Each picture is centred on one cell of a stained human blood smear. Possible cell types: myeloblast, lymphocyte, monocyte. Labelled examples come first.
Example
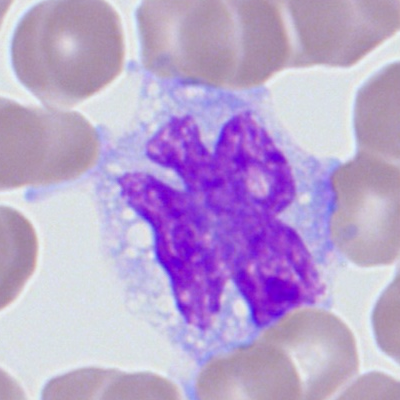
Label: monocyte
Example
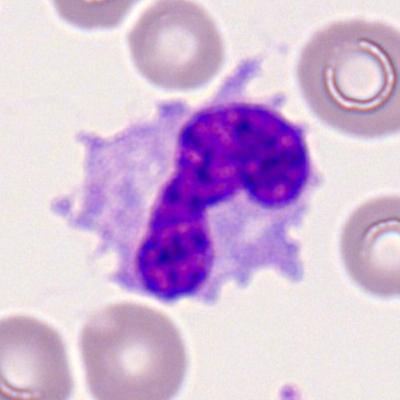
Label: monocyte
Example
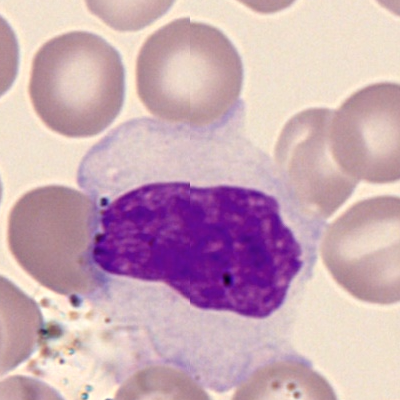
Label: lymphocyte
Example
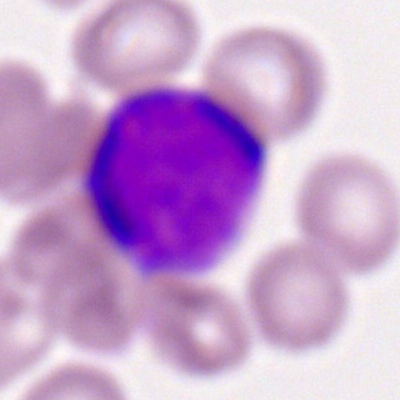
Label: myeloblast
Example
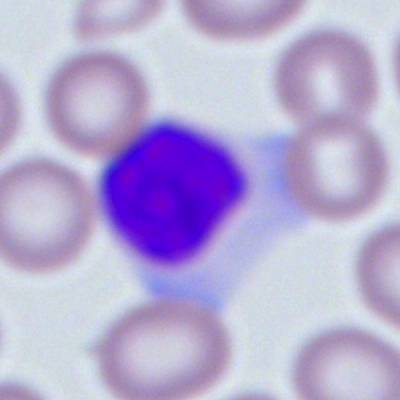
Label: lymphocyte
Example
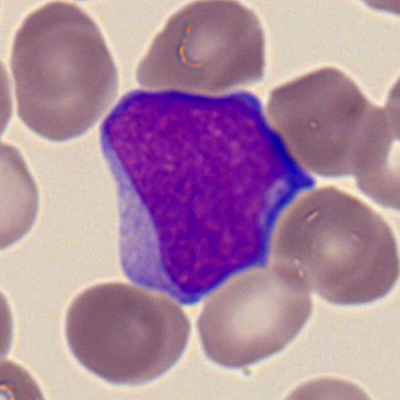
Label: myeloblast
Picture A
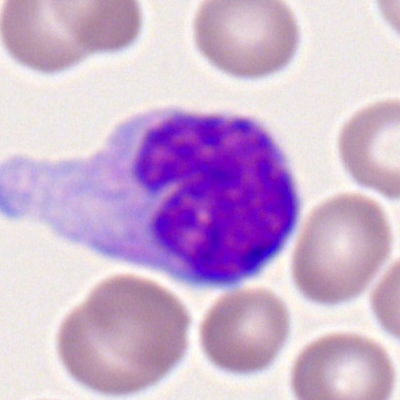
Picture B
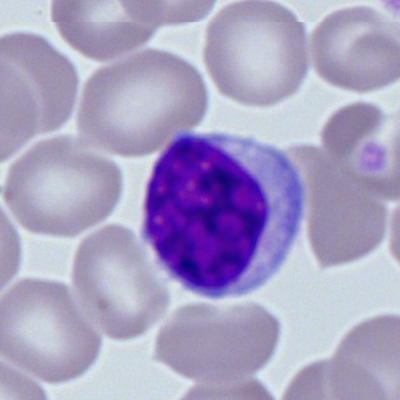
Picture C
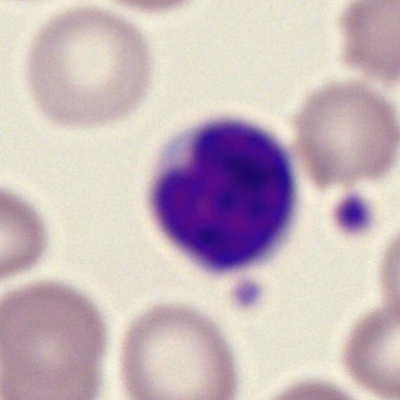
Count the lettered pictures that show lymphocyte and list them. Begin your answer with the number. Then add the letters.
2: B, C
